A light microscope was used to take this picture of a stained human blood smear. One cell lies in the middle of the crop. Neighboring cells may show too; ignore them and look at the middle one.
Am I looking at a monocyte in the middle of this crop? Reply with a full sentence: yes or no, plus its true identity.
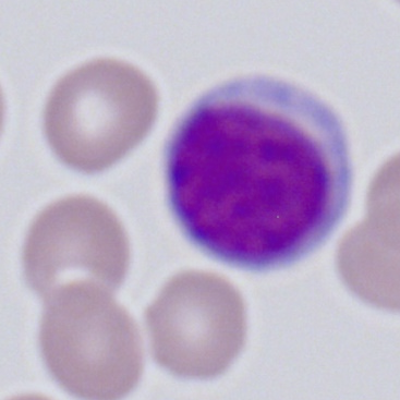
No, at the middle of the crop is a lymphocyte, not a monocyte.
